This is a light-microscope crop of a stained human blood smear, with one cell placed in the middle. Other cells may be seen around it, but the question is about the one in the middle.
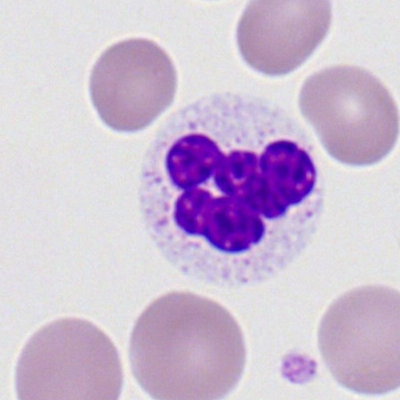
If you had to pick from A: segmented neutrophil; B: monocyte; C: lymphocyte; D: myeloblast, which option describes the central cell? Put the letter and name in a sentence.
Option A is accurate; the centrally placed cell is a segmented neutrophil.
